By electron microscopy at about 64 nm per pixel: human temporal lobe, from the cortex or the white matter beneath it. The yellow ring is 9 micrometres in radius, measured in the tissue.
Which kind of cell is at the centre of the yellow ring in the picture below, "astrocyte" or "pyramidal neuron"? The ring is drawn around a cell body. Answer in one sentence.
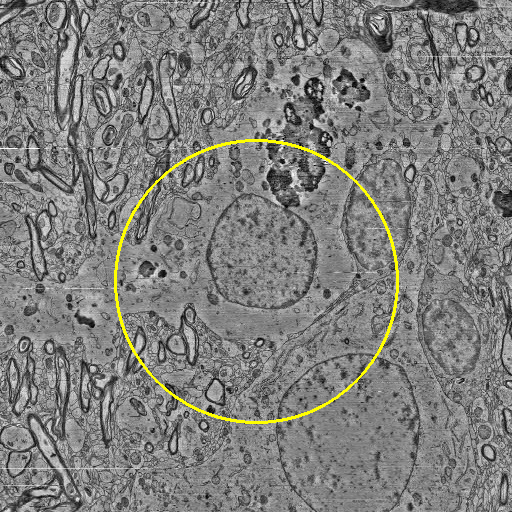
The ring's central cell is an astrocyte.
